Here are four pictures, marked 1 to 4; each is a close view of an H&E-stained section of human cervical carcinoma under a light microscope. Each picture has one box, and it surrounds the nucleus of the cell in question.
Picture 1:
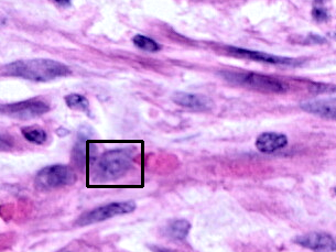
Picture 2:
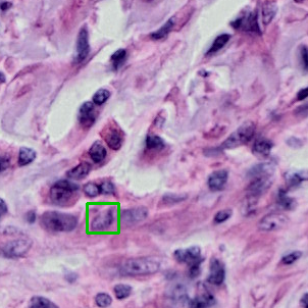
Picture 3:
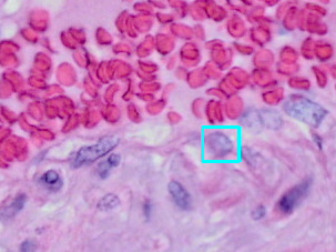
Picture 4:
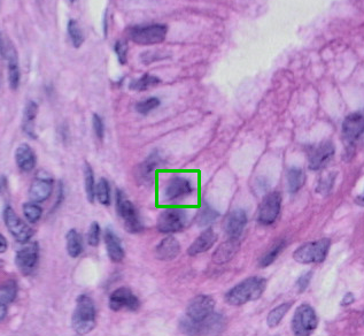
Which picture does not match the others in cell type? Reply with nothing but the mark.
4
